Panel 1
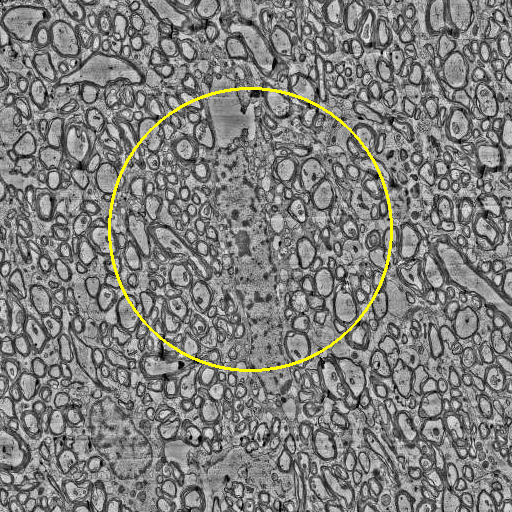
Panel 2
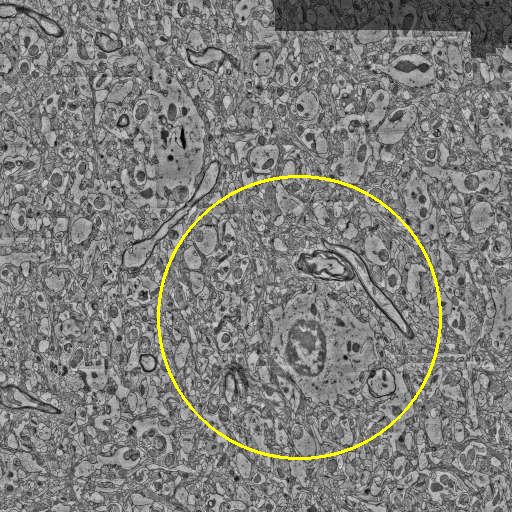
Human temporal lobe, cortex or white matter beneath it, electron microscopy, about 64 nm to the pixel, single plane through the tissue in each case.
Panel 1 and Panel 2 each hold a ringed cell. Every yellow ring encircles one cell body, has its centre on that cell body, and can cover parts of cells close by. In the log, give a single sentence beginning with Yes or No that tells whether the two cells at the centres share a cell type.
Yes, in Panel 1 and Panel 2 the centred cells share a cell type.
